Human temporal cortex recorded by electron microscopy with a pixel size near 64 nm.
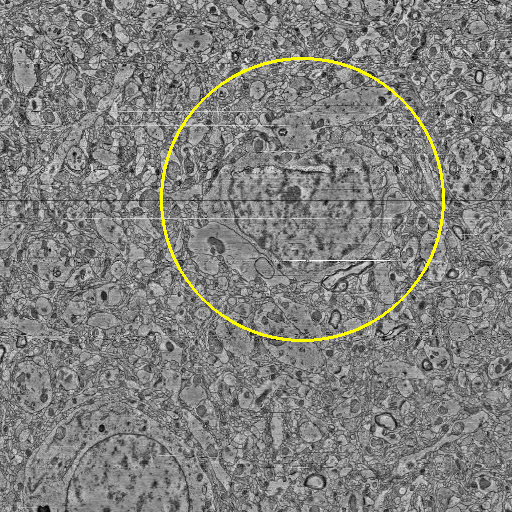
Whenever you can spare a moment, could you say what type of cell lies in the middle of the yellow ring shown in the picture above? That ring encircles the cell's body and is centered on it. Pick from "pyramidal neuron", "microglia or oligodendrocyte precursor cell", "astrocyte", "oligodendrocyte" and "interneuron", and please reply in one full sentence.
The cell whose body sits at the middle of the yellow ring is an interneuron.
